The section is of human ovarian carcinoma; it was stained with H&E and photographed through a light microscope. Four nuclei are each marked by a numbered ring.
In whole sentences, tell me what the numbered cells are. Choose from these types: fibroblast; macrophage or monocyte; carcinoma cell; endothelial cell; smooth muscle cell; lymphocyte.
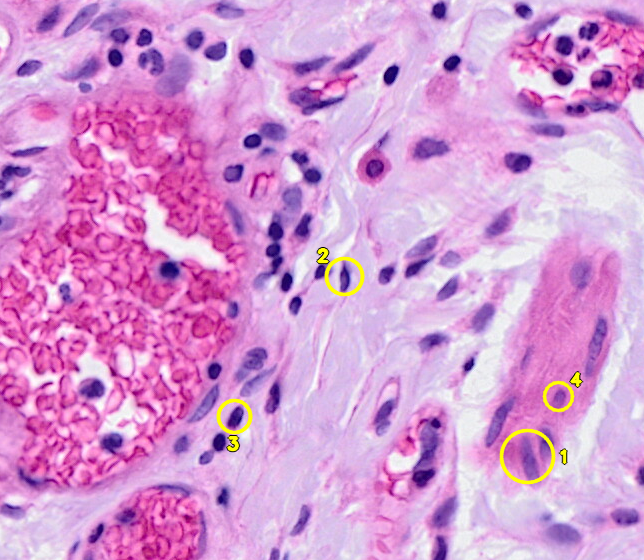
Cell 1 is a smooth muscle cell, cell 2 is a fibroblast, cell 3 is a lymphocyte and cell 4 is a smooth muscle cell.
